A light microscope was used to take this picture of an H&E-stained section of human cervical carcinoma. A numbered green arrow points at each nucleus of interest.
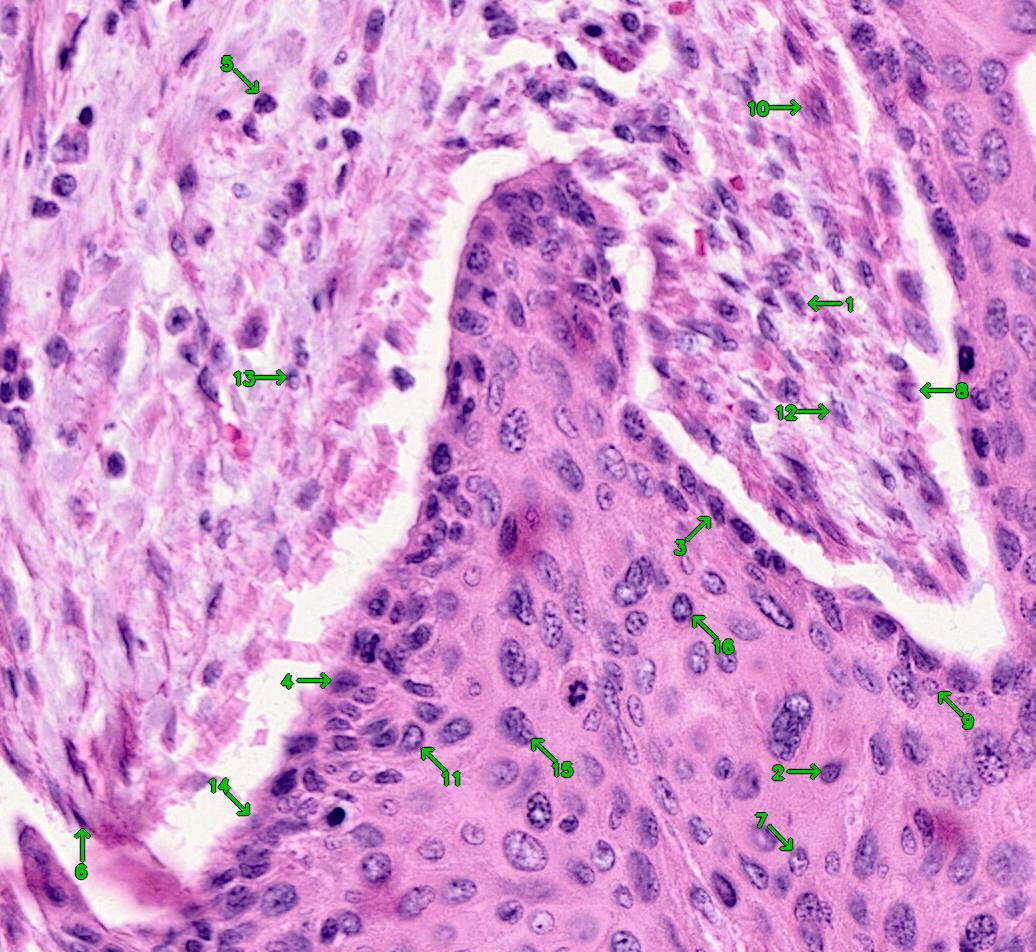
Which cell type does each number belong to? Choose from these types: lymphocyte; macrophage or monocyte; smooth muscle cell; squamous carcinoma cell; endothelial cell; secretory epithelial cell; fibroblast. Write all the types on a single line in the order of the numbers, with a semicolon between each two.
fibroblast; squamous carcinoma cell; squamous carcinoma cell; squamous carcinoma cell; lymphocyte; fibroblast; squamous carcinoma cell; macrophage or monocyte; squamous carcinoma cell; fibroblast; squamous carcinoma cell; fibroblast; fibroblast; squamous carcinoma cell; squamous carcinoma cell; squamous carcinoma cell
